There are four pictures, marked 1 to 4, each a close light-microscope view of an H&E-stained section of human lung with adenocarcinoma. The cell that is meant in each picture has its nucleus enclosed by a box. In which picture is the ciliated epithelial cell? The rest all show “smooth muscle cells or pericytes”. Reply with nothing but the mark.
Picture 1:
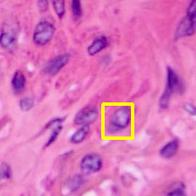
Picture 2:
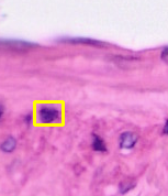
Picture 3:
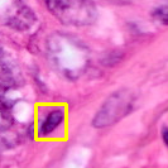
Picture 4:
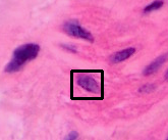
3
